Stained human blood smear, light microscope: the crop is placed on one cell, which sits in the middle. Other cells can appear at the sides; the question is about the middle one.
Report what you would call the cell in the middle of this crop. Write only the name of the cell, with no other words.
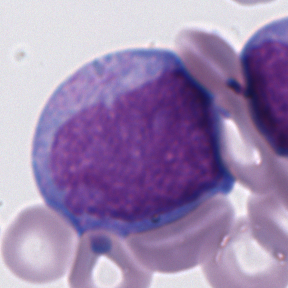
promyelocyte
